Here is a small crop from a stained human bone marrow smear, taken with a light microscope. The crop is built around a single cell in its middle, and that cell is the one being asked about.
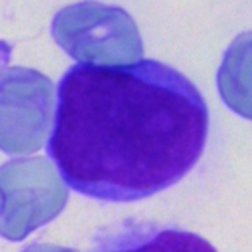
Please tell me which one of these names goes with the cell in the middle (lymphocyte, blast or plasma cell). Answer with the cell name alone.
blast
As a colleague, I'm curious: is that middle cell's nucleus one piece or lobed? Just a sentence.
Between us, the nucleus here is just one compact mass, round, oval or kidney-shaped.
